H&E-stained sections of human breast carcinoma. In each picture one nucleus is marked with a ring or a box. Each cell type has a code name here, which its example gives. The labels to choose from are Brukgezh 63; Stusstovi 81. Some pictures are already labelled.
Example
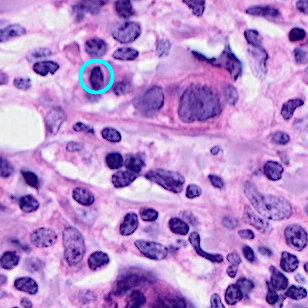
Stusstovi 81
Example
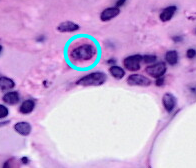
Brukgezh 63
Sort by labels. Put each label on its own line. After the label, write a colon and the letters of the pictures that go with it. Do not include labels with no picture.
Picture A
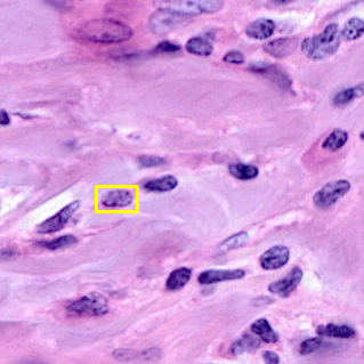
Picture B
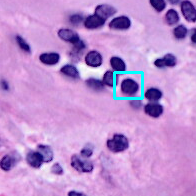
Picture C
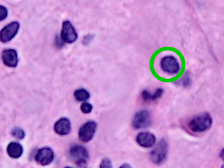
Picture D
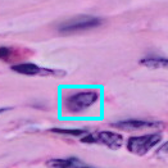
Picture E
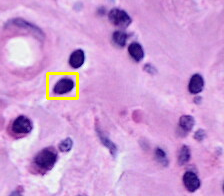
Brukgezh 63: A, D
Stusstovi 81: B, C, E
